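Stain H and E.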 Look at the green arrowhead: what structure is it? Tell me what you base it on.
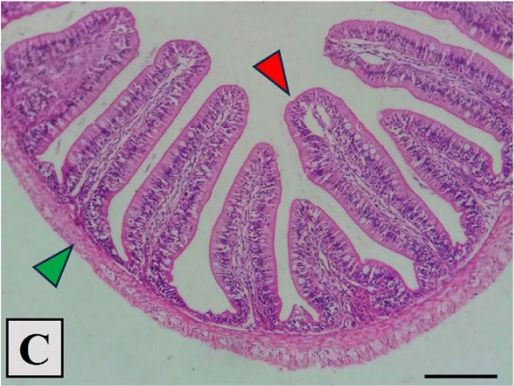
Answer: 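Intestinal wall. A pink band of smooth muscle-like tissue runs along the outer edge. The folds arise from its inner side.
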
